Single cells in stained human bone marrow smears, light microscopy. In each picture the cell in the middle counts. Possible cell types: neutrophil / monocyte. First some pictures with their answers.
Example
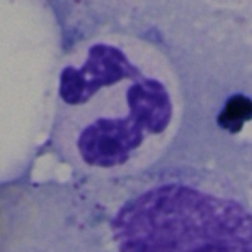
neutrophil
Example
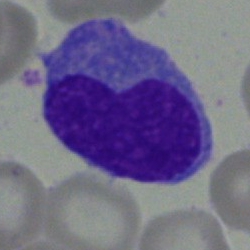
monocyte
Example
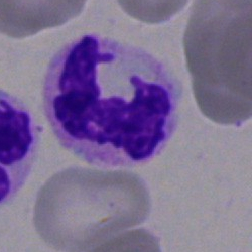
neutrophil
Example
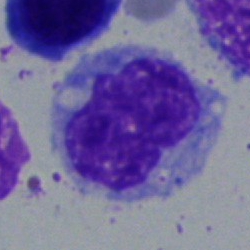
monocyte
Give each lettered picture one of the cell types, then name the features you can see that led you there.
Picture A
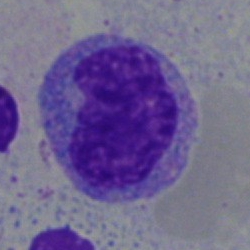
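monocyte. Reason: The nucleus fills most of the cell.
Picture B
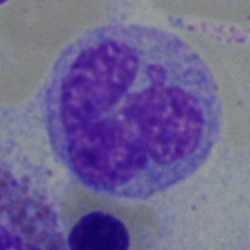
monocyte. Reason: The nucleus fills most of the cell.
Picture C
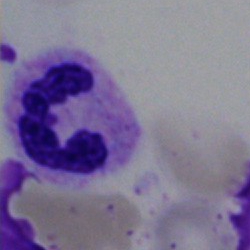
neutrophil. Reason: The cytoplasm is plentiful and pale pinkish-lilac.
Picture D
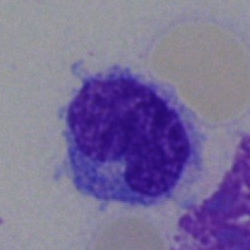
monocyte. Reason: The nucleus fills most of the cell, leaving a narrow to moderate rim of cytoplasm.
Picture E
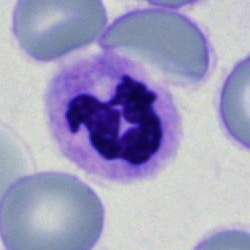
neutrophil. Reason: The cytoplasm is plentiful and pale pinkish-lilac.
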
